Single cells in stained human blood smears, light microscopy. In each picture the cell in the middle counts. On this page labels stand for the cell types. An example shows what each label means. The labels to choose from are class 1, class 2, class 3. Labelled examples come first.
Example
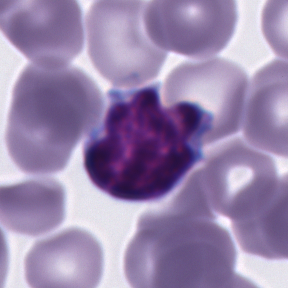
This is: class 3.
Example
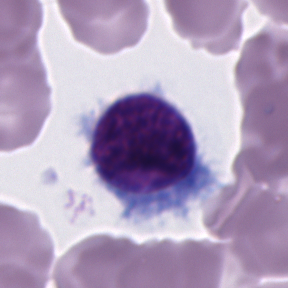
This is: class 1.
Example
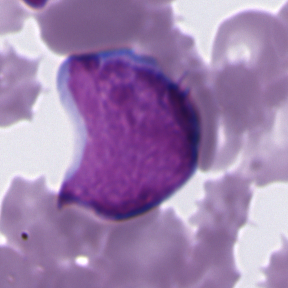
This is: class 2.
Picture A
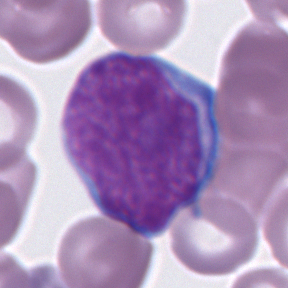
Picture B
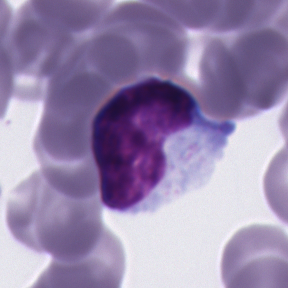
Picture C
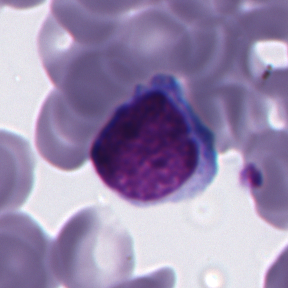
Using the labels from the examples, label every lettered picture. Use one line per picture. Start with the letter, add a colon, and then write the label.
A: class 2.
B: class 3.
C: class 3.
